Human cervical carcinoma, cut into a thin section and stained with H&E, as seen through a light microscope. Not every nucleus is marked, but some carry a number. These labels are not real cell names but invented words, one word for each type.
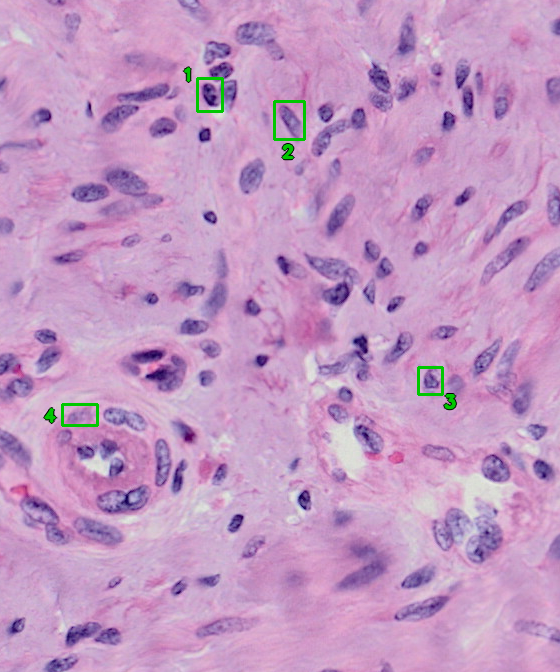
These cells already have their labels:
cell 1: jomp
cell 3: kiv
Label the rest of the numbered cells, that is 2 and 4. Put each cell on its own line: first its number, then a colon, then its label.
2: kiv
4: kiv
